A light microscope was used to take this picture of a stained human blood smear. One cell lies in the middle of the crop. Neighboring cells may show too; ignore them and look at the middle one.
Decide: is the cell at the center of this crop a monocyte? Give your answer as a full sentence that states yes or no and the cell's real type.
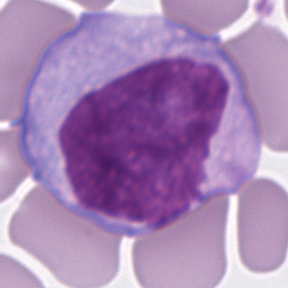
Yes, what sits in the middle of the crop is a monocyte.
